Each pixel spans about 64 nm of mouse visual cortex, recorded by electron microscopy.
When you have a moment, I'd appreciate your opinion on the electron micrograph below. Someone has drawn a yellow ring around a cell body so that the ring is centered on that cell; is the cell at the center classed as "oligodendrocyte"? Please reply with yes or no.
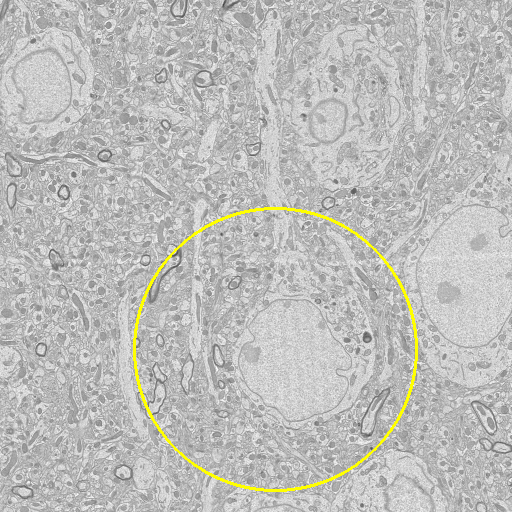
No, that cell belongs to another kind.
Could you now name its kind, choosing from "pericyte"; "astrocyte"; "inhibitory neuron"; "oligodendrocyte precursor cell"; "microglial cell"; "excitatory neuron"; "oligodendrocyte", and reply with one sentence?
That cell in the ring is an excitatory neuron instead.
